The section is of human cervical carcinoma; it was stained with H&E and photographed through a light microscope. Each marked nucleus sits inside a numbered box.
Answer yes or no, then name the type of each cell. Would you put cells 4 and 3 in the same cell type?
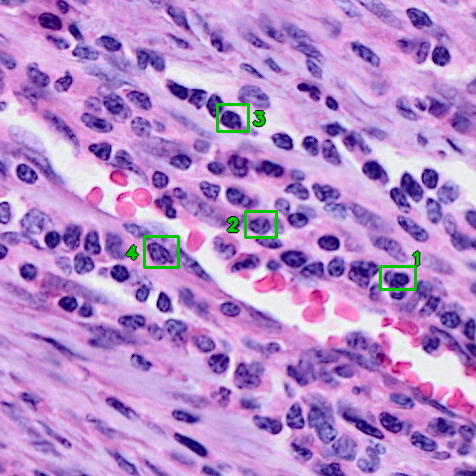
No, mate, cell 4 is an endothelial cell and cell 3 is a lymphocyte.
